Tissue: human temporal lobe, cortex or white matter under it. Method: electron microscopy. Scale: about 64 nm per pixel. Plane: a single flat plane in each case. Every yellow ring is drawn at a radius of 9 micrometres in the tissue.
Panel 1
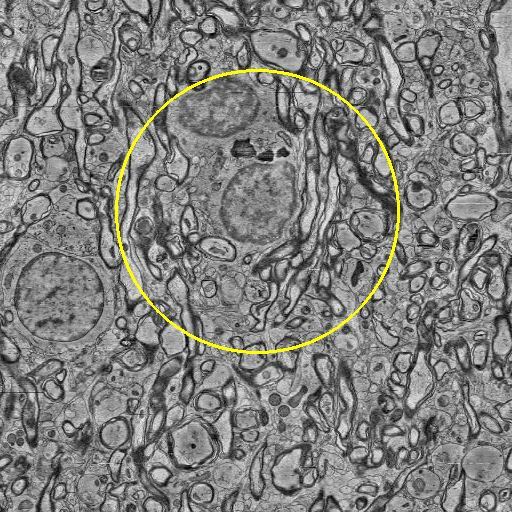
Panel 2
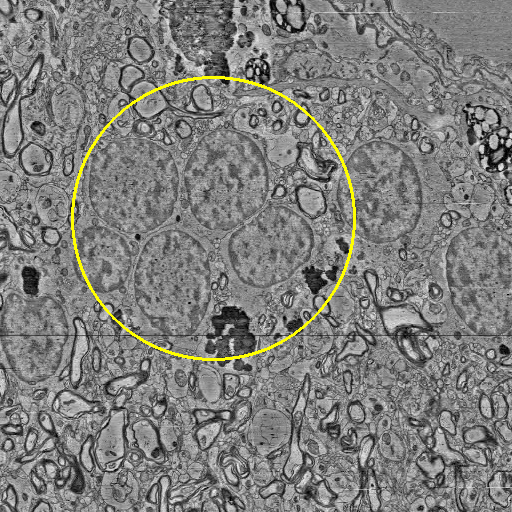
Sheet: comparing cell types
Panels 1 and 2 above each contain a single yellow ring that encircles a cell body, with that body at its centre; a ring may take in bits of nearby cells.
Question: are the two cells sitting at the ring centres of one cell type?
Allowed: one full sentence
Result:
Yes, the ring-centre cells in Panel 1 and Panel 2 are of one type.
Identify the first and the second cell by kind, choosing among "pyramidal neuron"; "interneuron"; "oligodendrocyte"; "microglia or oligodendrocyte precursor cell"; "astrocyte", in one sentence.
In both pictures the ring is centred on an oligodendrocyte.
